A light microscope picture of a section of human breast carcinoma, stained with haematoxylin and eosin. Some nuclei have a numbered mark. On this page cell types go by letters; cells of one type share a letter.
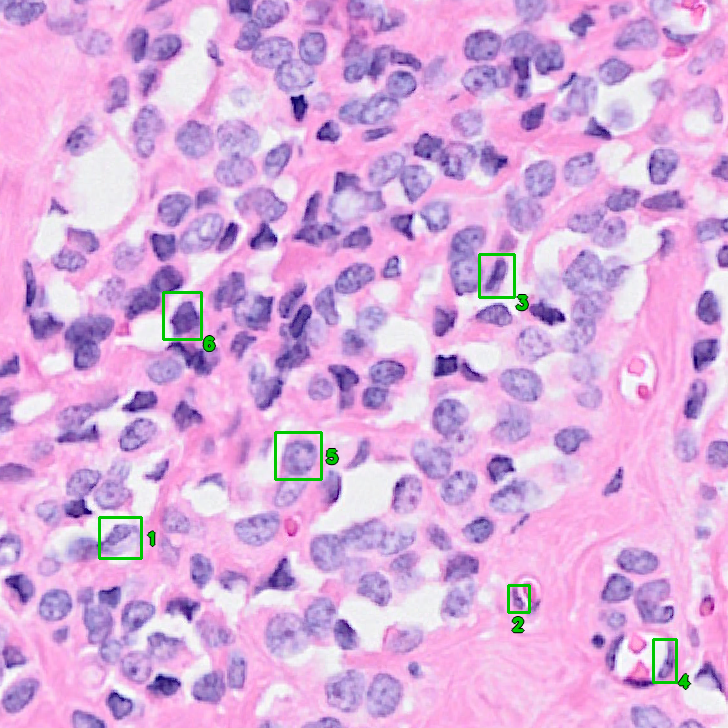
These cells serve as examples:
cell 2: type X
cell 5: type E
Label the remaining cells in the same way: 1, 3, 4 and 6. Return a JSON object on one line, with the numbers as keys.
{"1": "type E", "3": "type E", "4": "type X", "6": "type E"}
